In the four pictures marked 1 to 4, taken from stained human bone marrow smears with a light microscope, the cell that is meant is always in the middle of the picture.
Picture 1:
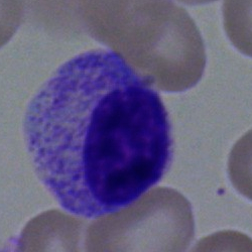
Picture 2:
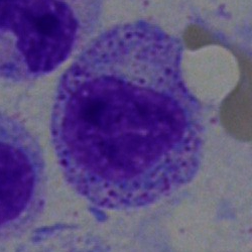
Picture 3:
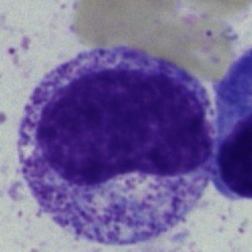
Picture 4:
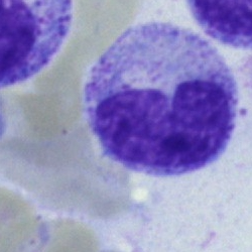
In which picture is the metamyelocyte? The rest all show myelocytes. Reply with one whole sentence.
Picture 4 is the one that shows the metamyelocyte.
